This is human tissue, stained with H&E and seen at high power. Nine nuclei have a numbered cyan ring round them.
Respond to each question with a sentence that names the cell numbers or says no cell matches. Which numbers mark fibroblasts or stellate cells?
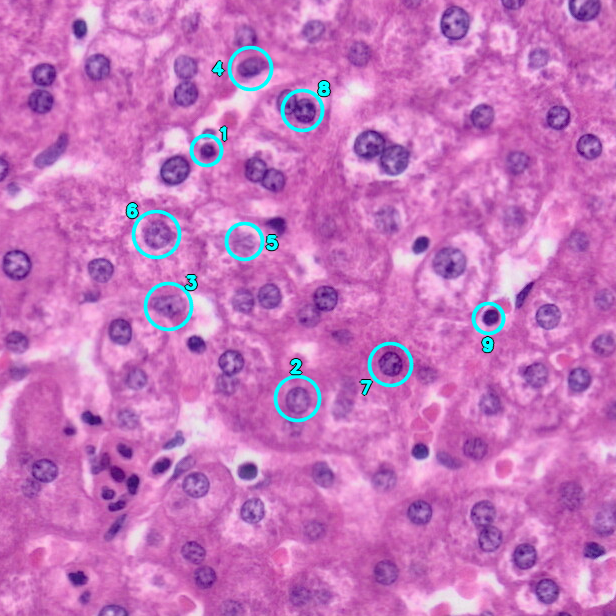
There are no fibroblasts or stellate cells among the cells marked with numbers.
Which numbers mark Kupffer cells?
The cells assigned the numbers 3 and 4 are Kupffer cells.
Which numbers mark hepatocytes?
The cells marked by the numbers 2, 5, 6, 7 and 8 are hepatocytes.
